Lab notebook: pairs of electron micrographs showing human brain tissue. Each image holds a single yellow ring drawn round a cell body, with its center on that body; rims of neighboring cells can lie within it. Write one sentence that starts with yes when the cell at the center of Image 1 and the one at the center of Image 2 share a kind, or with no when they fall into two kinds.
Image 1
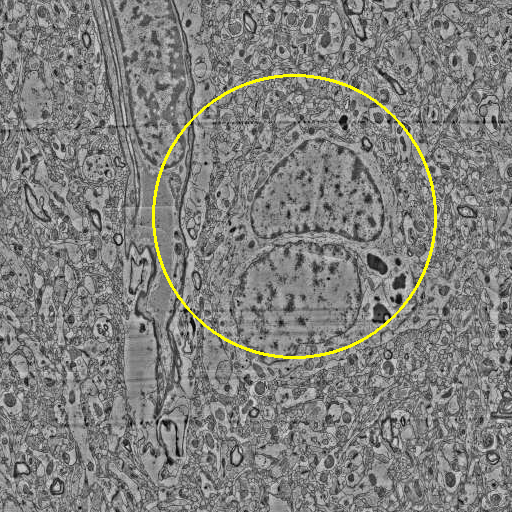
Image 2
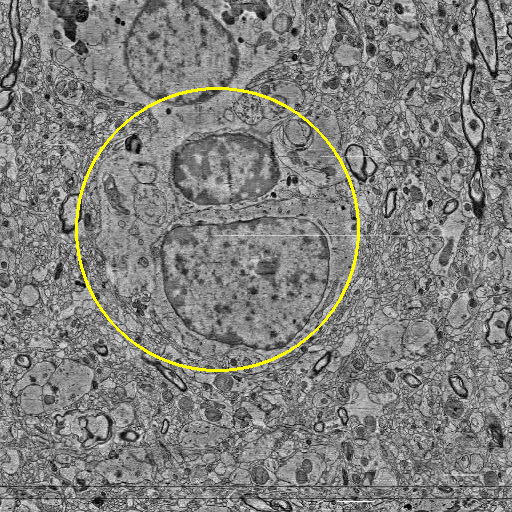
Yes, the centered cell in Image 1 and the centered cell in Image 2 are of one kind.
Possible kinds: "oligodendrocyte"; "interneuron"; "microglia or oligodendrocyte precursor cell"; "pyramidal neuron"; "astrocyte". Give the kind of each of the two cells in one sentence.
In each picture the ringed cell is a microglial cell or oligodendrocyte precursor cell.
